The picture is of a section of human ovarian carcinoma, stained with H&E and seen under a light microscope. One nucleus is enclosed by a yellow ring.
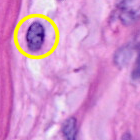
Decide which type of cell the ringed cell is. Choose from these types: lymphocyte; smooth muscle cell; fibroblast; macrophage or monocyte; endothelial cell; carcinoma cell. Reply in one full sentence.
The ringed cell appears to be a macrophage or monocyte.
